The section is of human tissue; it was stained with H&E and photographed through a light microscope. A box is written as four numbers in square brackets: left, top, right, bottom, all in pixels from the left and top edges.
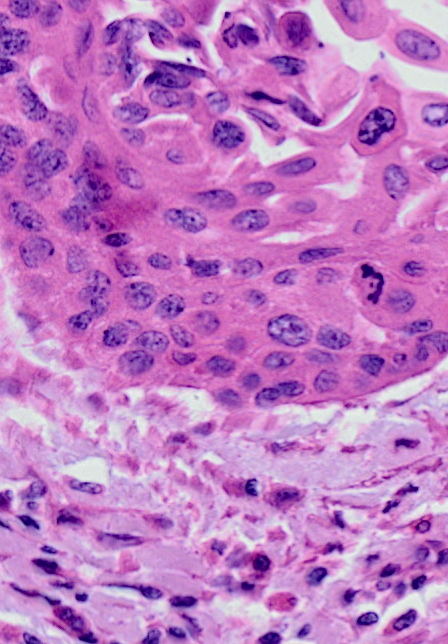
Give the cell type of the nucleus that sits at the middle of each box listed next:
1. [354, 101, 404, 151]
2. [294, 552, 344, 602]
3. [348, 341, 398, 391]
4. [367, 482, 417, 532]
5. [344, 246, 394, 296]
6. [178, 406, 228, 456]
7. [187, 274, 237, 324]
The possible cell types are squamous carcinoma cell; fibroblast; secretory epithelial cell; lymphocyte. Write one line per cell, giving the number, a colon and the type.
1: squamous carcinoma cell
2: lymphocyte
3: squamous carcinoma cell
4: fibroblast
5: squamous carcinoma cell
6: fibroblast
7: squamous carcinoma cell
